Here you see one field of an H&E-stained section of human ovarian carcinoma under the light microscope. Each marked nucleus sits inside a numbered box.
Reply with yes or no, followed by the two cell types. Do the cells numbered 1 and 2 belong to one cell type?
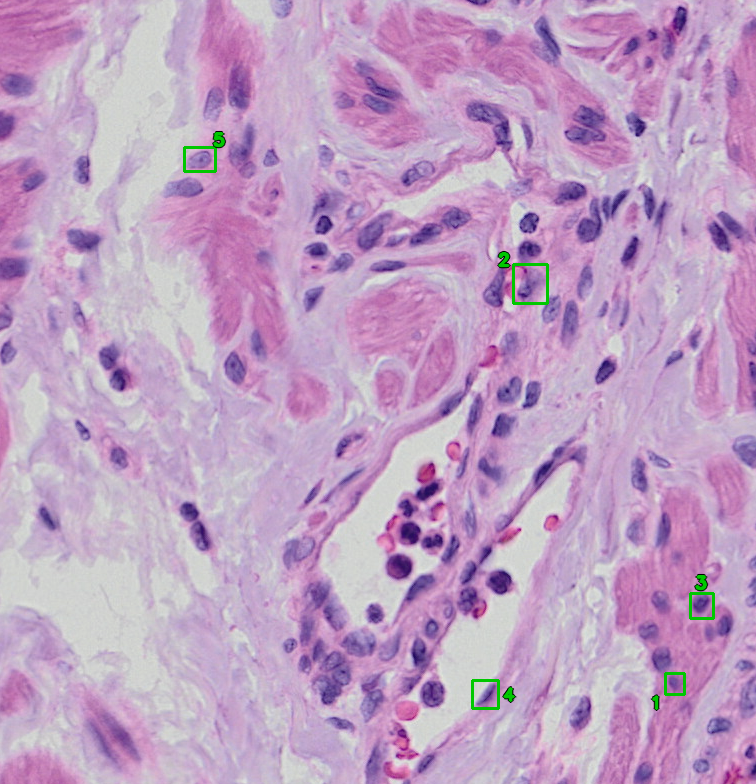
No, cell number 1 is a smooth muscle cell and cell number 2 is an endothelial cell.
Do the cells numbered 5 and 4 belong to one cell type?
No, cell 5 is a smooth muscle cell, and cell 4, for its part, is an endothelial cell.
